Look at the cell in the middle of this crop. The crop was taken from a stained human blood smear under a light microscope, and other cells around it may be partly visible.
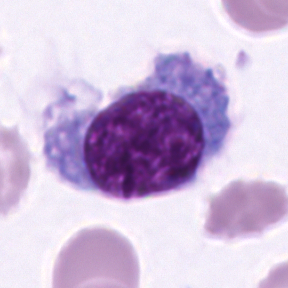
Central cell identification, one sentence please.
Here the centrally located cell is a plasma cell.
